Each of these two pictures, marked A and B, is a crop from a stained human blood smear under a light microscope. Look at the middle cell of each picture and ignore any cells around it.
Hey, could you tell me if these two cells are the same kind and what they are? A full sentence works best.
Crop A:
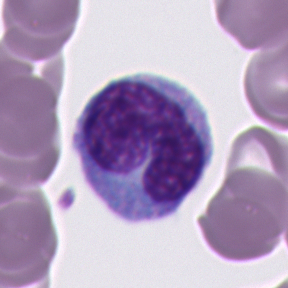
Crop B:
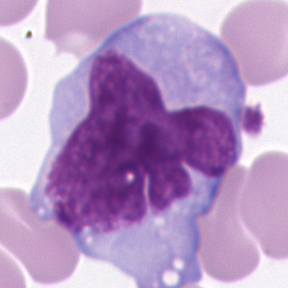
Yes, in both crops the centred cells are monocytes.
